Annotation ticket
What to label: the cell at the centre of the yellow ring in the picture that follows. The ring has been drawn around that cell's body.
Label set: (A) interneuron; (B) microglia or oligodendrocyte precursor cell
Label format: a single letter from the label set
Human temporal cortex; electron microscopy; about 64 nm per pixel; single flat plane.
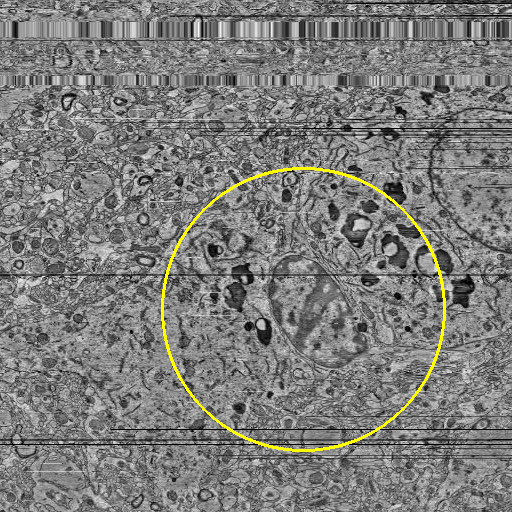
B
